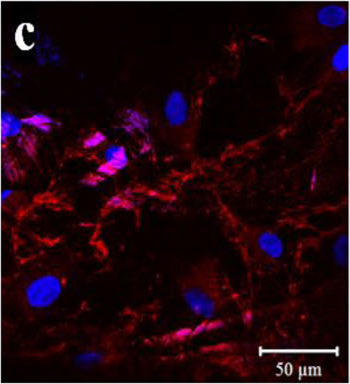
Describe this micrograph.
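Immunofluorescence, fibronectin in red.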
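Around and between them runs a network of red fibrillar strands that branch and cross, forming a loose mesh. In places the red strands are thicker and brighter, appearing as elongated bright pink patches. Large parts of the field between the strands are dark.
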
